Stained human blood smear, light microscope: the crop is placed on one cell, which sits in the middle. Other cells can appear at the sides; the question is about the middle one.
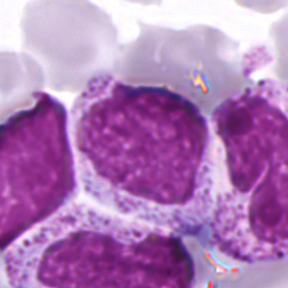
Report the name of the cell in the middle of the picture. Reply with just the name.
myelocyte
